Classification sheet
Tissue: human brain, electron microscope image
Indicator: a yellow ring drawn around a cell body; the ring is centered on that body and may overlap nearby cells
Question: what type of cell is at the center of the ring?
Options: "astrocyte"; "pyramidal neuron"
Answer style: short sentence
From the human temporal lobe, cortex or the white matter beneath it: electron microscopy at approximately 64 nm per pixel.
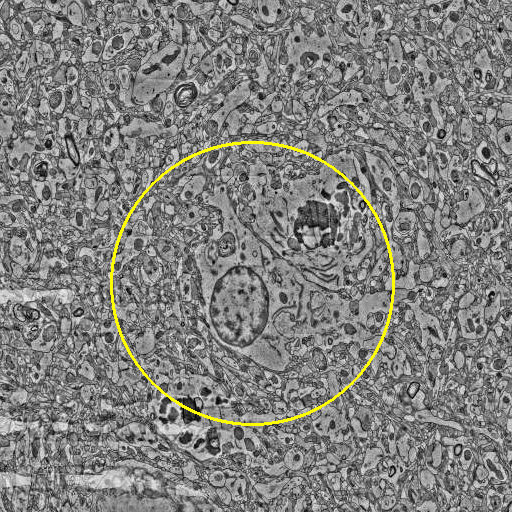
At the ring's center is an astrocyte.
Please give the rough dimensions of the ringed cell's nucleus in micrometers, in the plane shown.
About 5 by 4 micrometres in this plane.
